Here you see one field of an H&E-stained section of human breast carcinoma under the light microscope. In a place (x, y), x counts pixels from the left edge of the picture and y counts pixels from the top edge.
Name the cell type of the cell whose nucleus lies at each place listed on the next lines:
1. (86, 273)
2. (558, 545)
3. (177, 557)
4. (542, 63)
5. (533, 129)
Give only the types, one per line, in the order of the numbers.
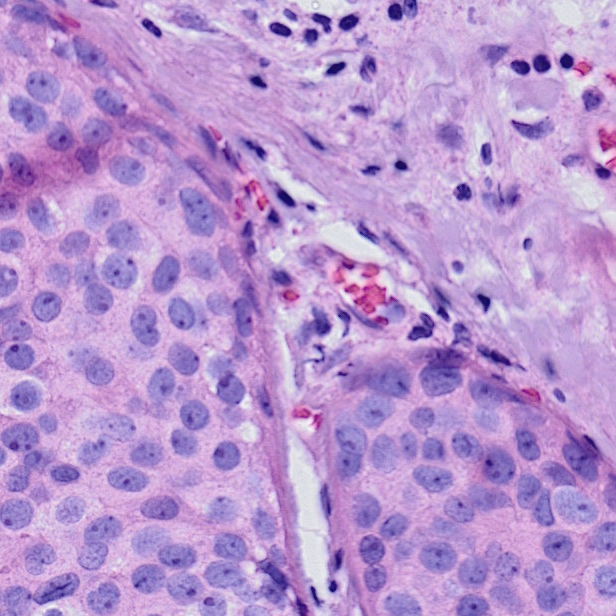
carcinoma cell
carcinoma cell
carcinoma cell
lymphocyte
fibroblast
